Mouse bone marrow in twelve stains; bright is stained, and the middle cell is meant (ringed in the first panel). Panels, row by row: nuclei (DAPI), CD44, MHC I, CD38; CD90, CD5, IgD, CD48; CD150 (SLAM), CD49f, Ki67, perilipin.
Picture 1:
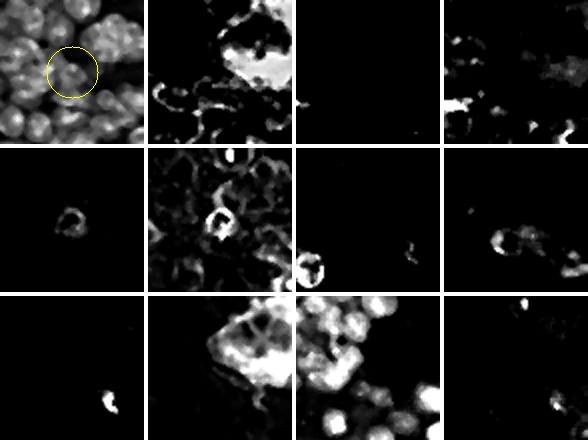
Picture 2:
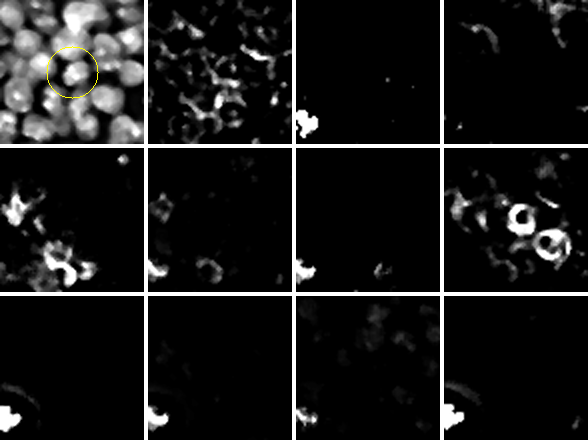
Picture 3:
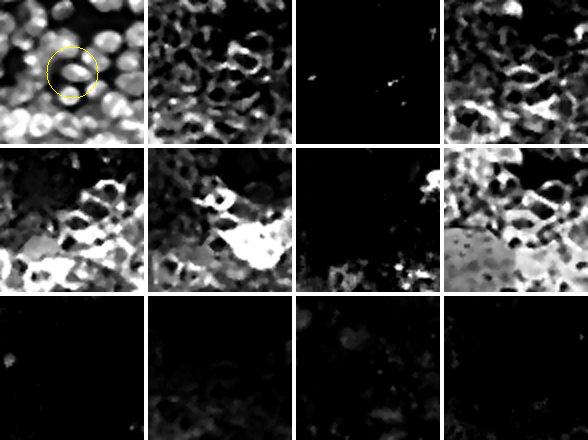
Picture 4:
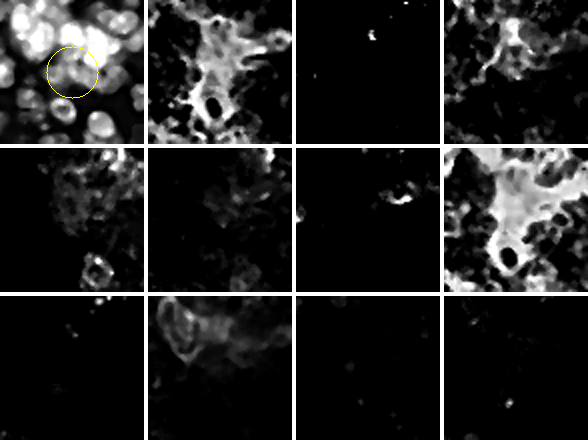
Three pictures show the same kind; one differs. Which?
Picture 1: a T cell, while the others are monocytes.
